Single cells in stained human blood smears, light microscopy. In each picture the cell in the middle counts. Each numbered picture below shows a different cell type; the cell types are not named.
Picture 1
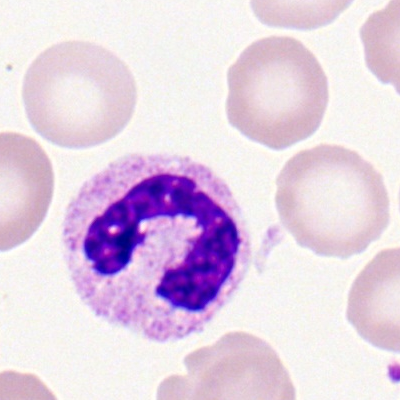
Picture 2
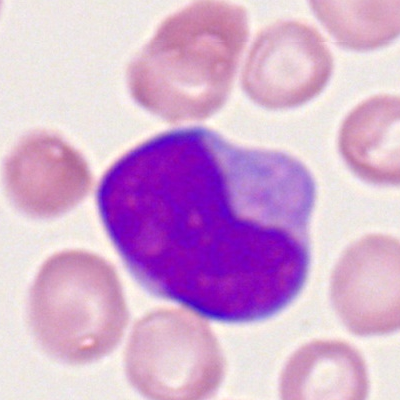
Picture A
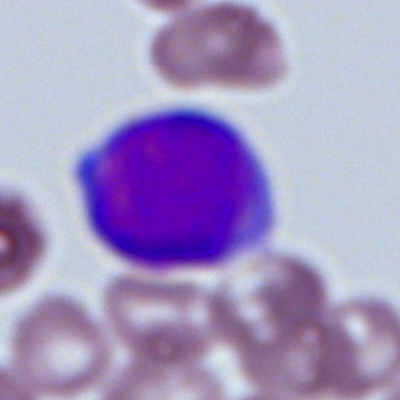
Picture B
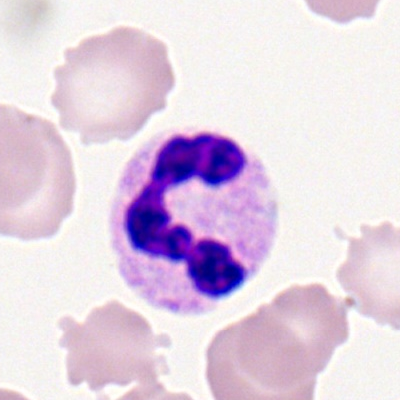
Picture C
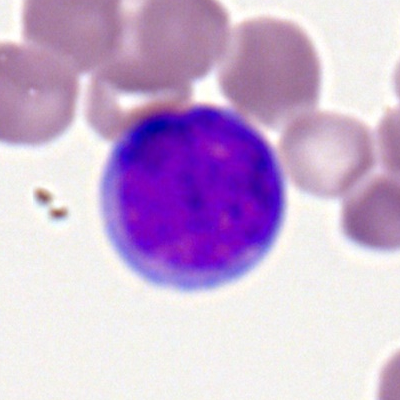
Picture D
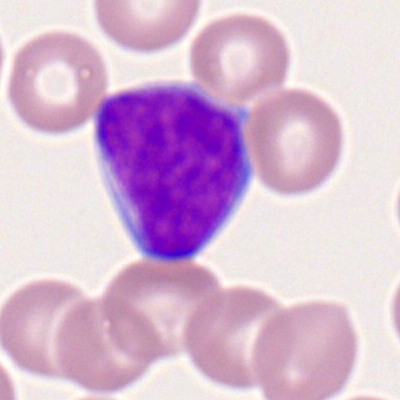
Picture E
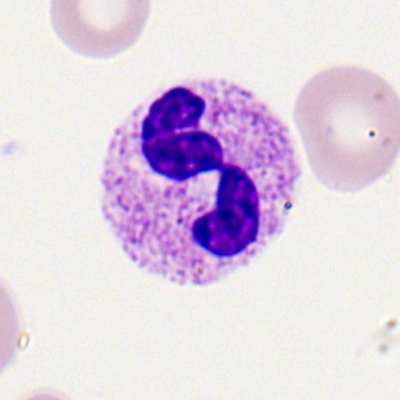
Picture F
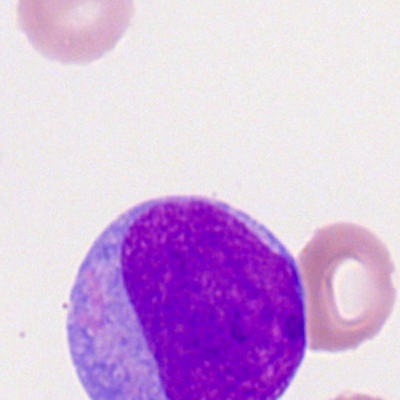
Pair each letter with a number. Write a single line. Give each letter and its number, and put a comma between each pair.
A 2, B 1, C 2, D 2, E 1, F 2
